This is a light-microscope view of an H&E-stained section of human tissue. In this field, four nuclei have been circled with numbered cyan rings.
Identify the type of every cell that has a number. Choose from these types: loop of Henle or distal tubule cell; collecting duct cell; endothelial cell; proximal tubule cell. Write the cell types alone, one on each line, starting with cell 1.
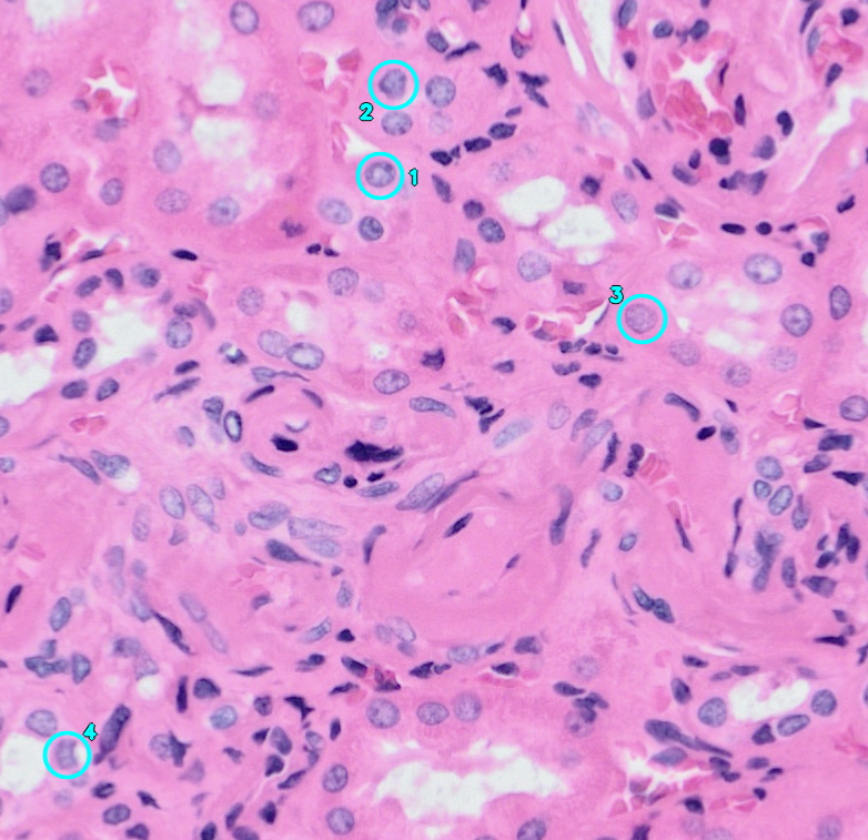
collecting duct cell
loop of Henle or distal tubule cell
proximal tubule cell
collecting duct cell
